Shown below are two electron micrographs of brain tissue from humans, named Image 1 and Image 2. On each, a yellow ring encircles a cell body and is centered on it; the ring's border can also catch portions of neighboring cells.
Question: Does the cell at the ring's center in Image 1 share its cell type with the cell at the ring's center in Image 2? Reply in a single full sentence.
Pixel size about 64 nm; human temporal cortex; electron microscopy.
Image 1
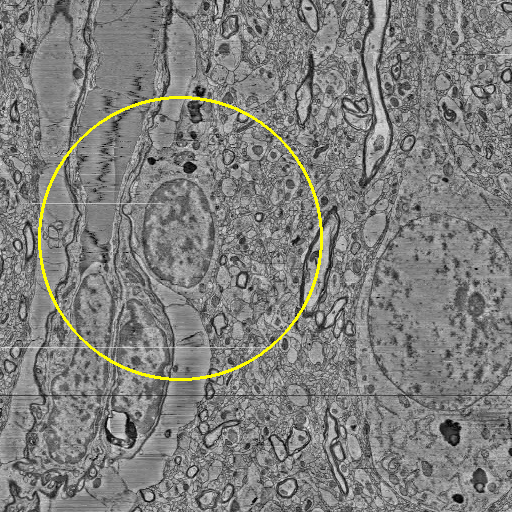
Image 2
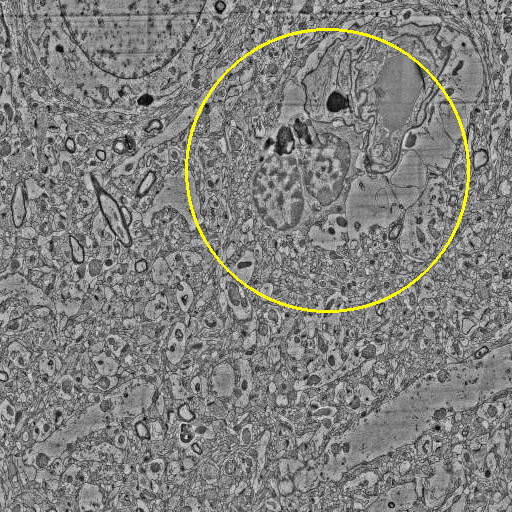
Yes, the two cells at the ring centers, in Image 1 and Image 2, share one cell type.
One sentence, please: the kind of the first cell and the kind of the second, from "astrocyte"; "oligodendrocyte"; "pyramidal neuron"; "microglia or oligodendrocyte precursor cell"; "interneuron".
Each of the two rings surrounds an oligodendrocyte.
